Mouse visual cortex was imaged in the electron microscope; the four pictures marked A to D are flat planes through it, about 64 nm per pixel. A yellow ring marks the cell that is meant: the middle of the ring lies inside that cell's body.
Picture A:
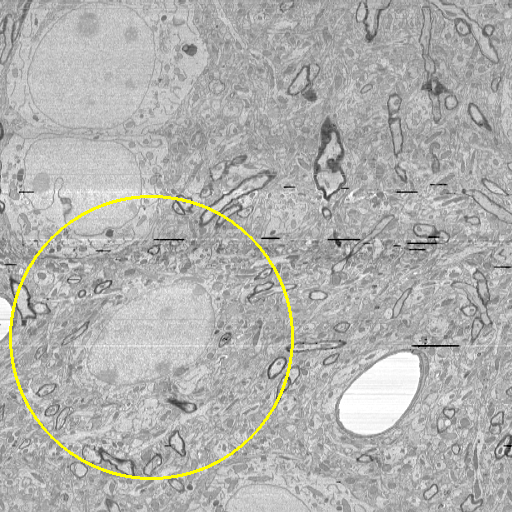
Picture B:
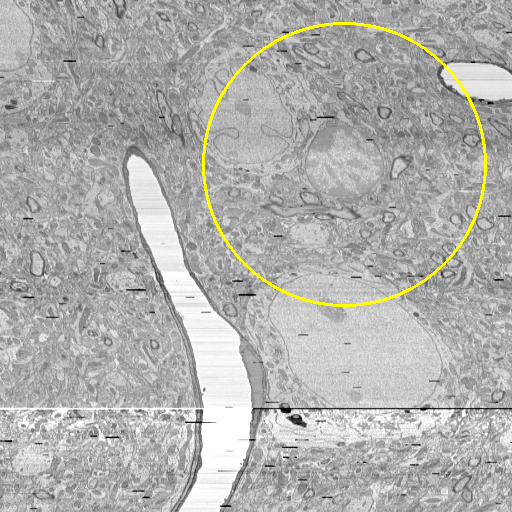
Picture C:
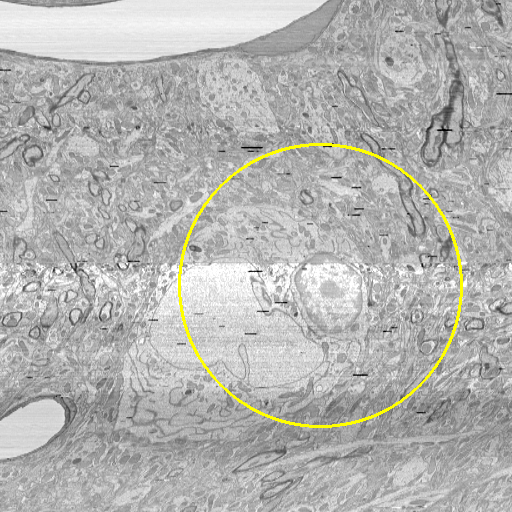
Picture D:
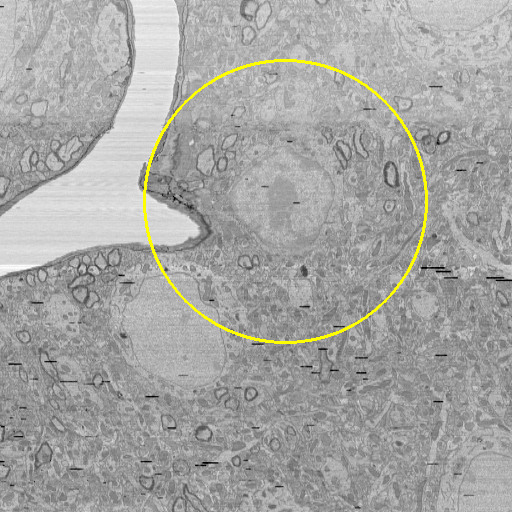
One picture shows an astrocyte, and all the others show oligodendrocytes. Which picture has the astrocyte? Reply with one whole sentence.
The picture with the astrocyte is A.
